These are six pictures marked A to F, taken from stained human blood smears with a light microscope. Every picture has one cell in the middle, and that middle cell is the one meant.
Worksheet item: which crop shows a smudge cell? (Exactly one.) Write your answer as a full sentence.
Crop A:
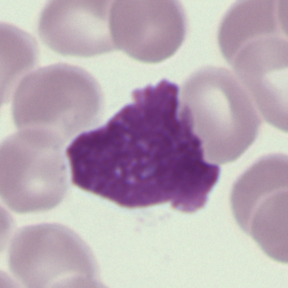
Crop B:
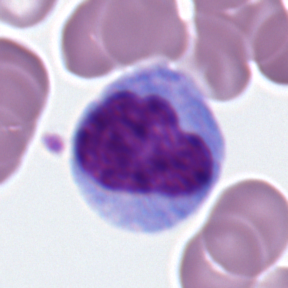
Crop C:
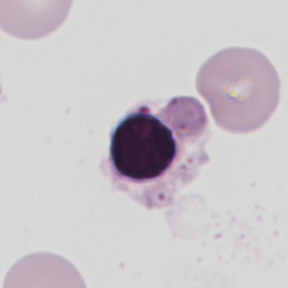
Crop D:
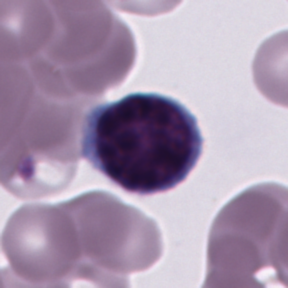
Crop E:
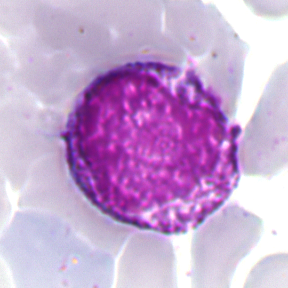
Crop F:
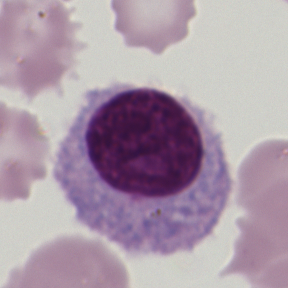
Of the crops shown, crop A depicts a smudge cell.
